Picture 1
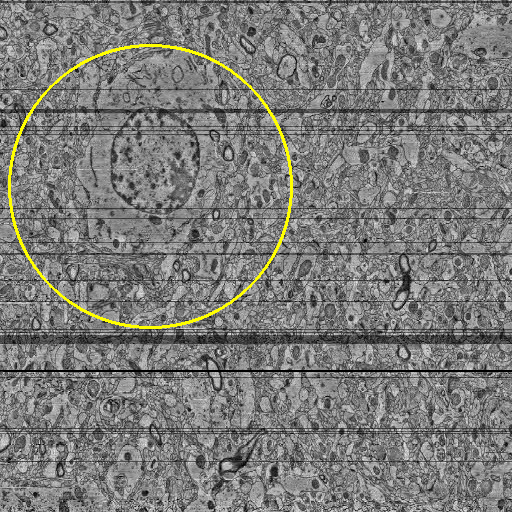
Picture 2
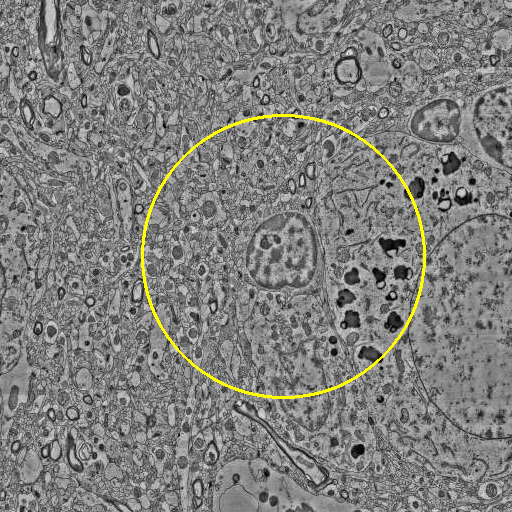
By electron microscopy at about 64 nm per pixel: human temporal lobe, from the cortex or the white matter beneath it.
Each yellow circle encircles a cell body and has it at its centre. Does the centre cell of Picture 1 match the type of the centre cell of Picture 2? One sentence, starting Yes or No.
No, the cell centred in Picture 1 and the one in Picture 2 have separate types.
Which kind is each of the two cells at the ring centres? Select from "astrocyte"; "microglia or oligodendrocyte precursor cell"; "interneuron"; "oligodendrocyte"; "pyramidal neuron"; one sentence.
The cell at the centre of the ring is an astrocyte in the first picture and an oligodendrocyte in the second.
